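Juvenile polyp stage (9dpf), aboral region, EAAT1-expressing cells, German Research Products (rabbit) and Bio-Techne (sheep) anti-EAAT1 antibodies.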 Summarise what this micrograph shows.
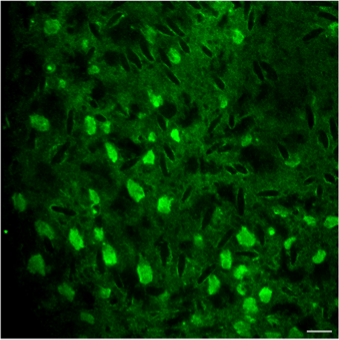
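Labelled cells lie scattered singly over the body column wall. They are compact, irregularly polygonal bright green bodies without processes. Their brightness varies, some cells being vivid and others dim. The background carries a diffuse green haze with many small dark elongated spindle-shaped gaps.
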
